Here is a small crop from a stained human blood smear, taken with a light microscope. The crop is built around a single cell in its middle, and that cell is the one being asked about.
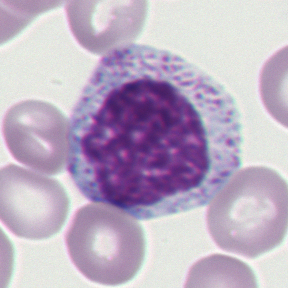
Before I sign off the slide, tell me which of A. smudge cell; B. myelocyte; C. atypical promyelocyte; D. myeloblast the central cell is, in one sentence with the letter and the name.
Here the central cell is a myelocyte, and option B is correct.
